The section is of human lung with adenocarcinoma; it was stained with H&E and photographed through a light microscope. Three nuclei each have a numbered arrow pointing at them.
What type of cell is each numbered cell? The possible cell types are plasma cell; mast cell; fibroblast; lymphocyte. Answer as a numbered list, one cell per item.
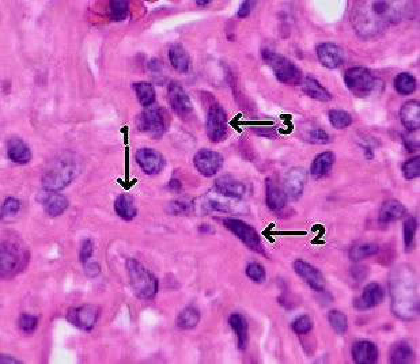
1. lymphocyte
2. plasma cell
3. plasma cell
